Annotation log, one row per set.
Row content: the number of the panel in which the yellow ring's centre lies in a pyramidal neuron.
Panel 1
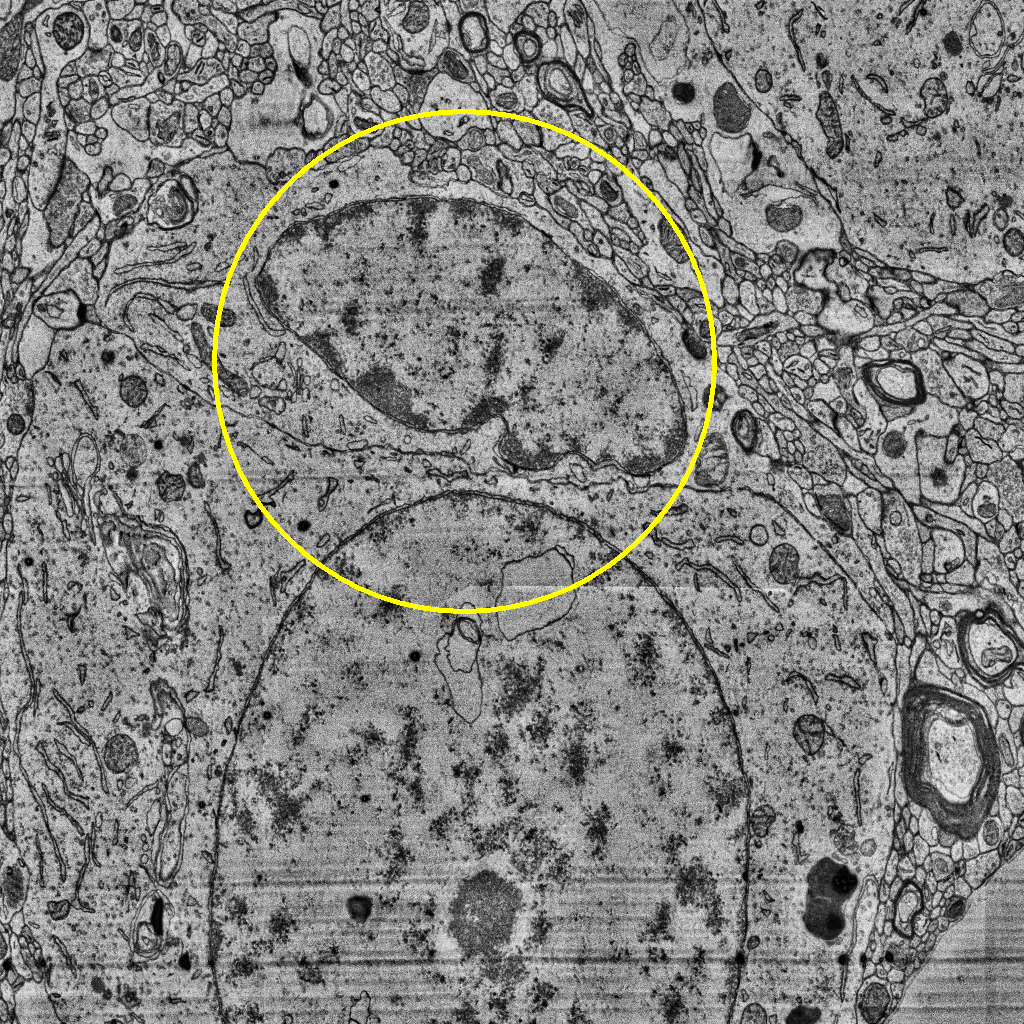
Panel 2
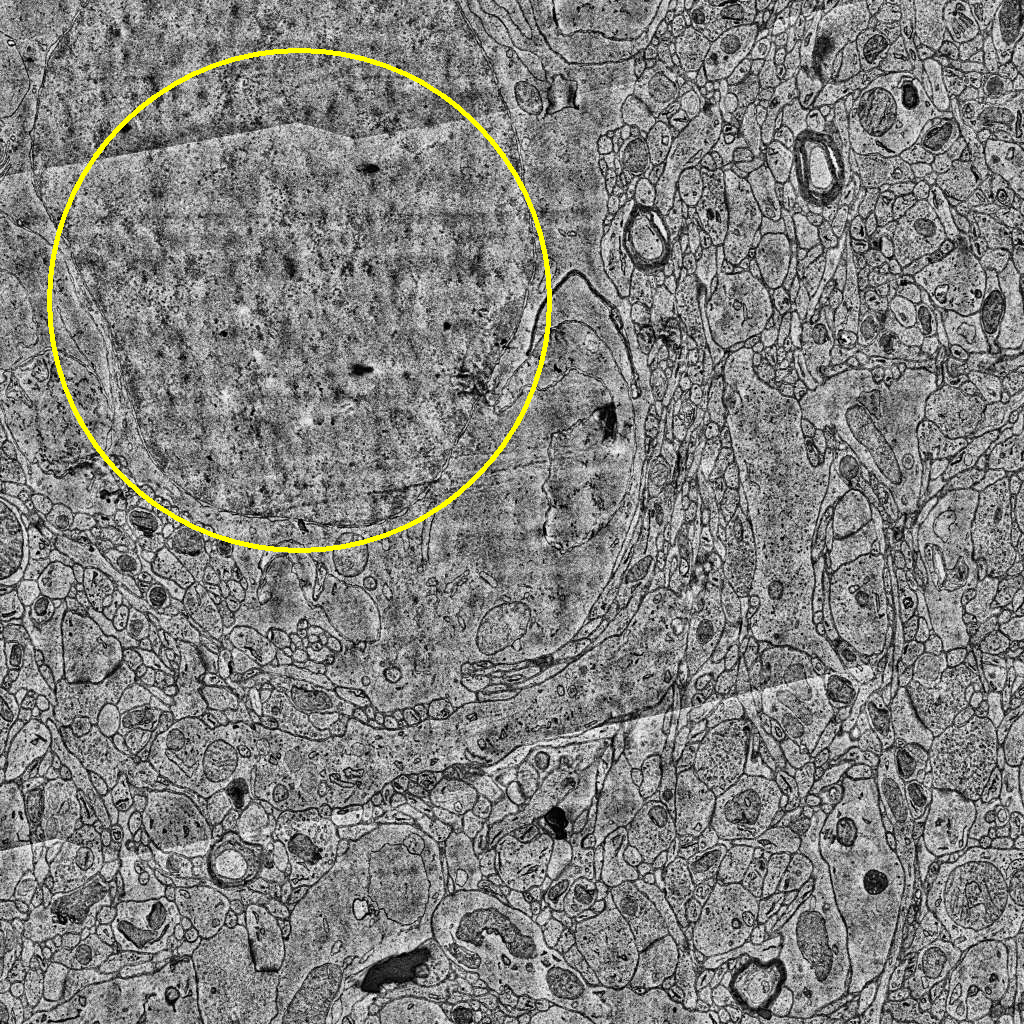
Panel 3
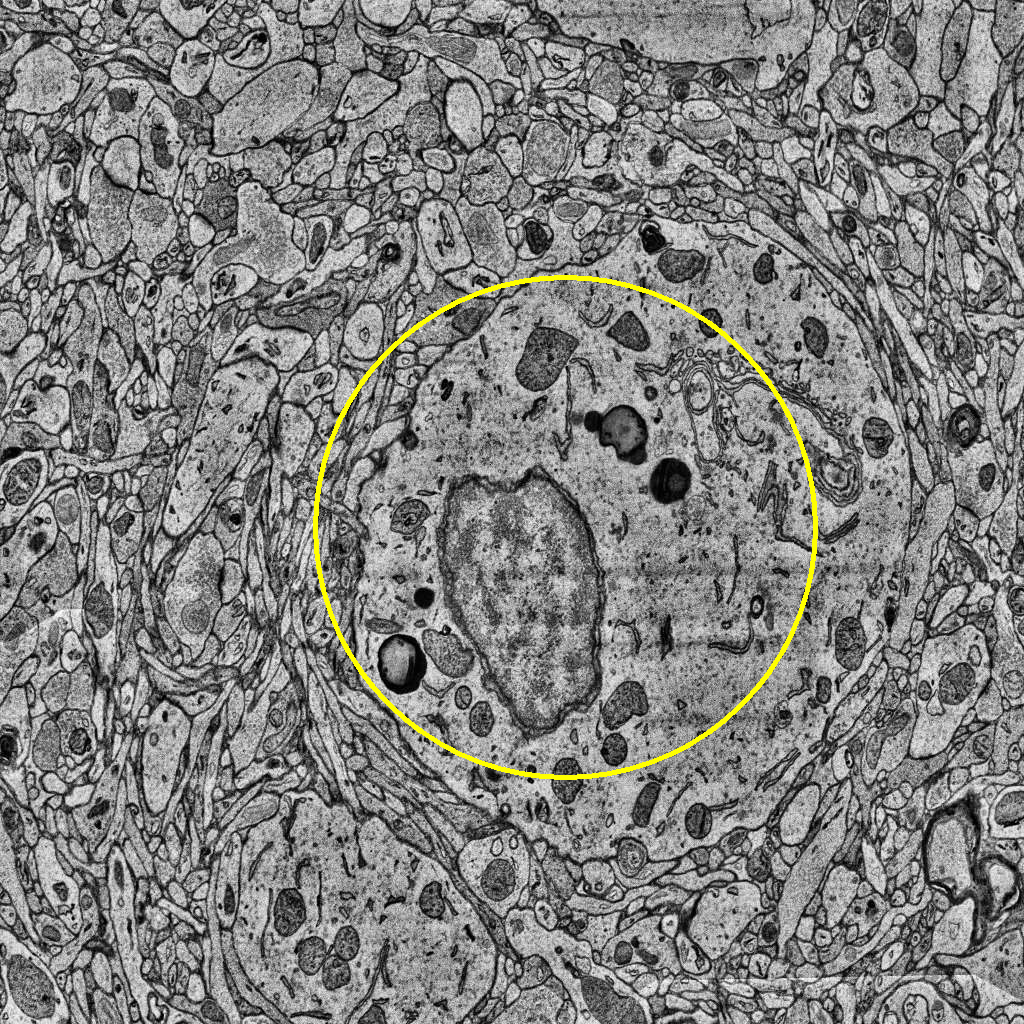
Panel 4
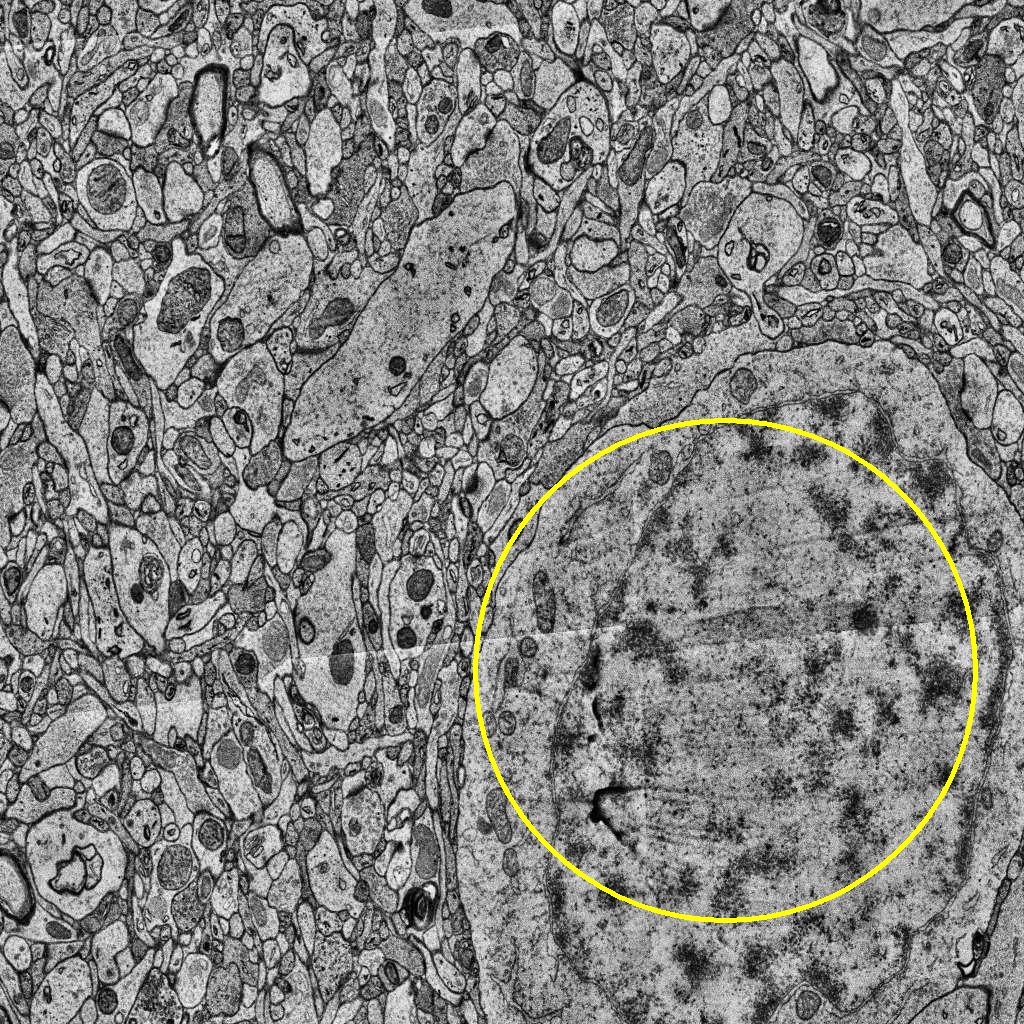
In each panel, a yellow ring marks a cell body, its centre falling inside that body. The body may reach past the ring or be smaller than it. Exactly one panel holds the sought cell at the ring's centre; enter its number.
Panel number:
3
